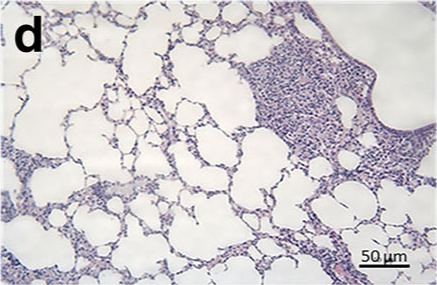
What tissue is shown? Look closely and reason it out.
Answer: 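Lung parenchyma. Many thin-walled, open, polygonal air spaces. Delicate septa one or a few cells thick between them.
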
